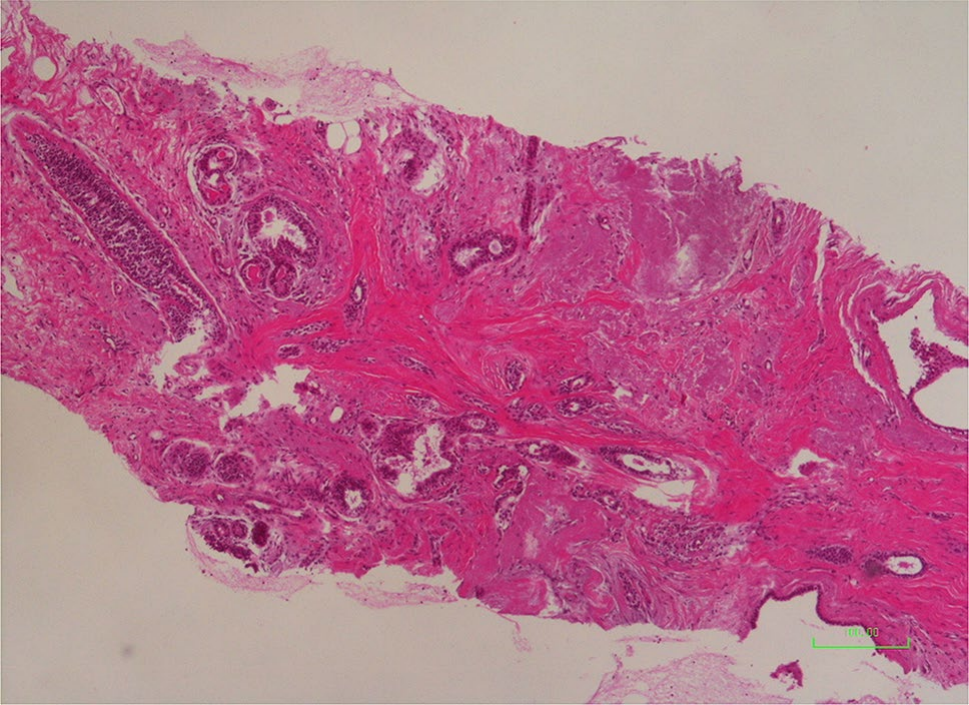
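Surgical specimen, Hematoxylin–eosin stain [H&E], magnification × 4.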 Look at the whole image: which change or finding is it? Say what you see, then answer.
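Dense, glassy, bright pink collagen bands run through the centre of the tissue. Few nuclei lie within these pink bands. So: hyalinized stroma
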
